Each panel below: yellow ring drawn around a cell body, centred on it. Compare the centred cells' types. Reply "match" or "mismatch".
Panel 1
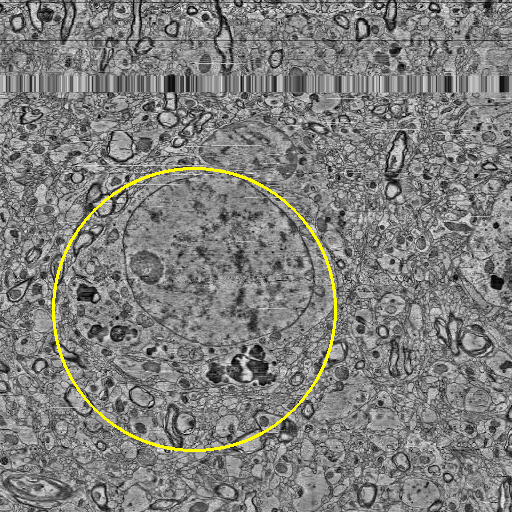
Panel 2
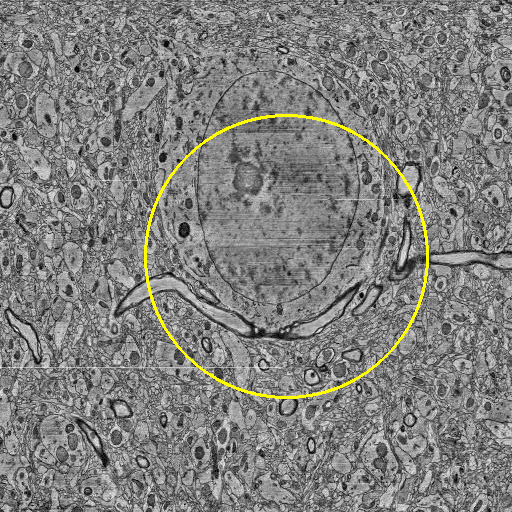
match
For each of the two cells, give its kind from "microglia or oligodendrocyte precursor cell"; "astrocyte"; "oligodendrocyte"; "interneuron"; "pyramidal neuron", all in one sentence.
Each cell, in the first picture and the second, is a pyramidal neuron.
